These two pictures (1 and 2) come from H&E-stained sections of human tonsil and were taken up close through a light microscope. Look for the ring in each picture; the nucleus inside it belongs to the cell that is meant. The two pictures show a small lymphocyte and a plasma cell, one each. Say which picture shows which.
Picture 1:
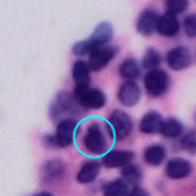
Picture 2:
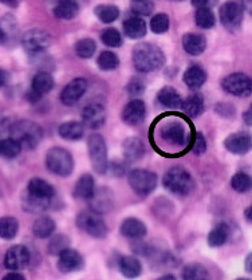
1: small lymphocyte
2: plasma cell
